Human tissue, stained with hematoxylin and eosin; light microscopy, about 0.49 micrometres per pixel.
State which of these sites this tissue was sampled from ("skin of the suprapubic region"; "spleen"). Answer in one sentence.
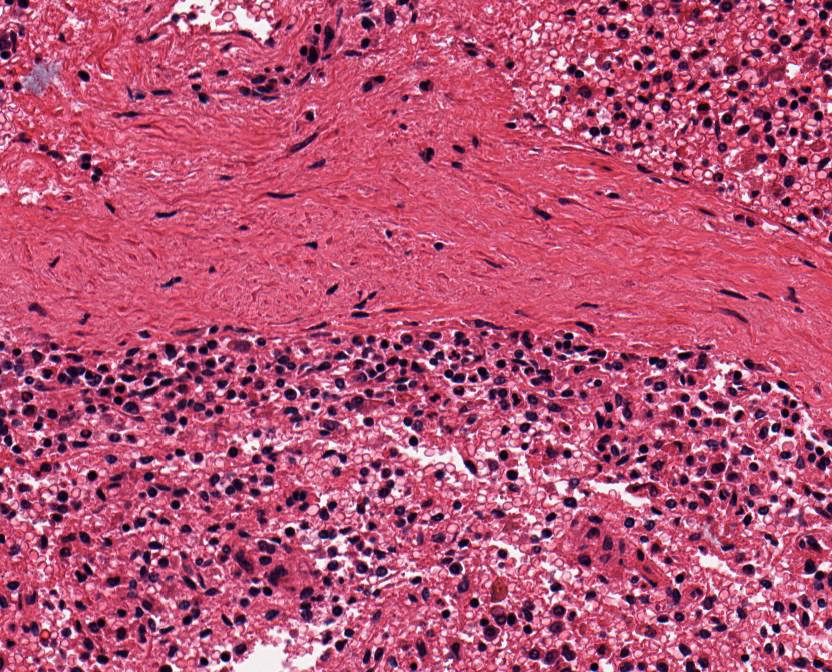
The site this tissue was sampled from is the spleen.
